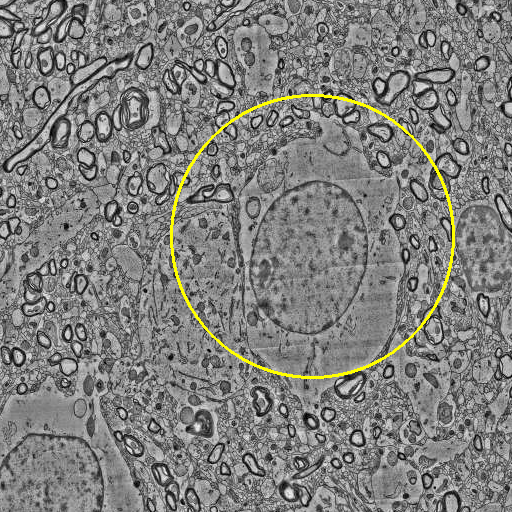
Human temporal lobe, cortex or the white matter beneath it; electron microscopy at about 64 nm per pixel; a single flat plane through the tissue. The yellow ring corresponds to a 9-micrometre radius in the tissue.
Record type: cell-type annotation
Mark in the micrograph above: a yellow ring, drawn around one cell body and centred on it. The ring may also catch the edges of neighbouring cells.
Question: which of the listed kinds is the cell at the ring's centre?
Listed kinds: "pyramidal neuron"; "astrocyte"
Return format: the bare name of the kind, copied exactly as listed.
astrocyte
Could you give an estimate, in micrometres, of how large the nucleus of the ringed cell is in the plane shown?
The nucleus comes to roughly 10 by 7 micrometres in this plane.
